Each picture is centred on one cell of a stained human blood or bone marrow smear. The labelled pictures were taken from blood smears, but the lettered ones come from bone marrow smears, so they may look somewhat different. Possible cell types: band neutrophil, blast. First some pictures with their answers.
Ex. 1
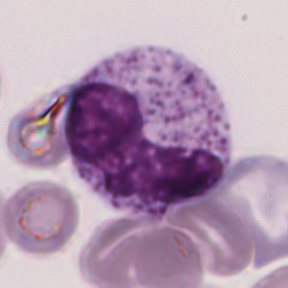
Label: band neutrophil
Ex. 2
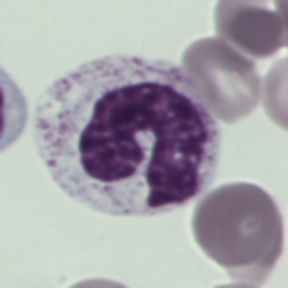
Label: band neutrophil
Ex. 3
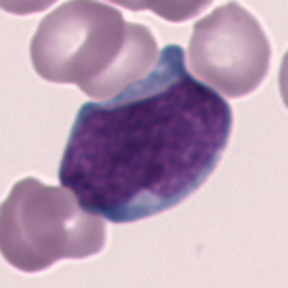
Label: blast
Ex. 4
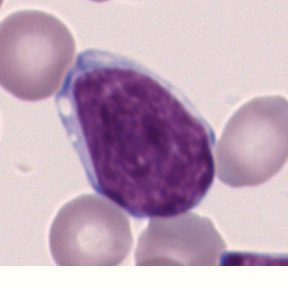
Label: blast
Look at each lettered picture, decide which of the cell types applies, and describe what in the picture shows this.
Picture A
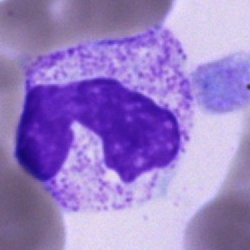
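Answer: band neutrophil. The cytoplasm is plentiful and forms its broadest part above the nucleus.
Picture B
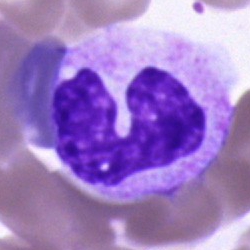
Answer: band neutrophil. The cytoplasm is abundant and pale lilac.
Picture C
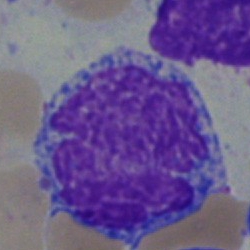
Answer: blast. The nucleus fills most of the cell.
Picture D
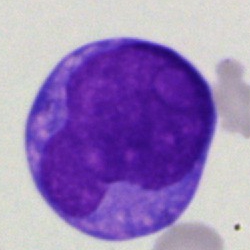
Answer: blast. The nucleus fills most of the cell.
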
